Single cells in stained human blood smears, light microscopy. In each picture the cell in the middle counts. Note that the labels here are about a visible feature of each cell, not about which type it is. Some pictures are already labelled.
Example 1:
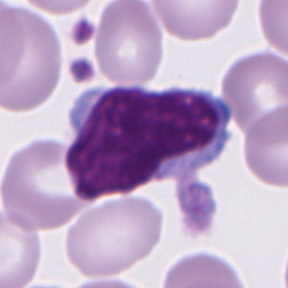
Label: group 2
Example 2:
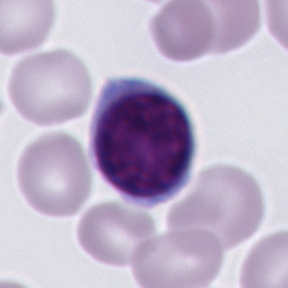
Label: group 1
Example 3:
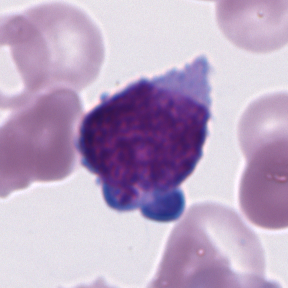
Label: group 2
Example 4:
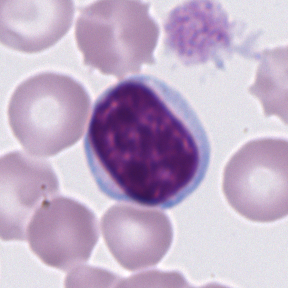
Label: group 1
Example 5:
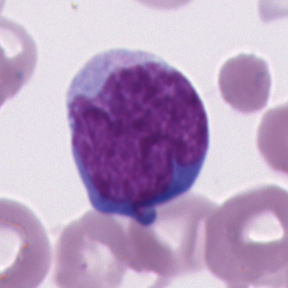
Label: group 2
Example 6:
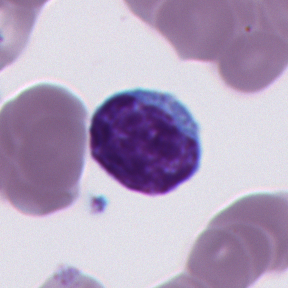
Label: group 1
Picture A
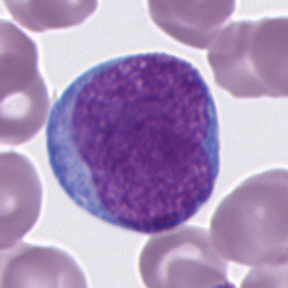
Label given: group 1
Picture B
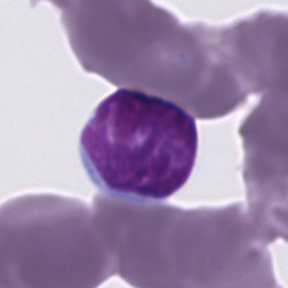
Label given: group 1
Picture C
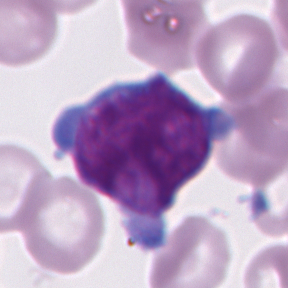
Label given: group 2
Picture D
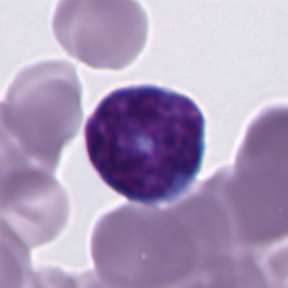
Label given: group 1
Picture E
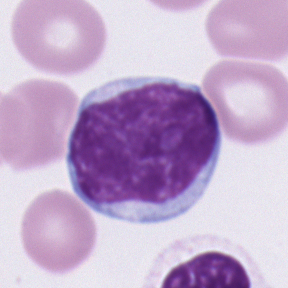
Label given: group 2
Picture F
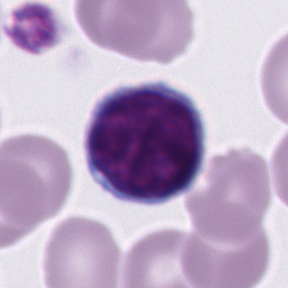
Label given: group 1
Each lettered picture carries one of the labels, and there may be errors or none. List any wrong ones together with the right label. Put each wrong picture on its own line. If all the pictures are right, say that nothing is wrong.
E: not group 2 but group 1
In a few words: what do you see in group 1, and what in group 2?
Seen in group 1: smooth outline; seen in group 2: ragged outline or projections.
